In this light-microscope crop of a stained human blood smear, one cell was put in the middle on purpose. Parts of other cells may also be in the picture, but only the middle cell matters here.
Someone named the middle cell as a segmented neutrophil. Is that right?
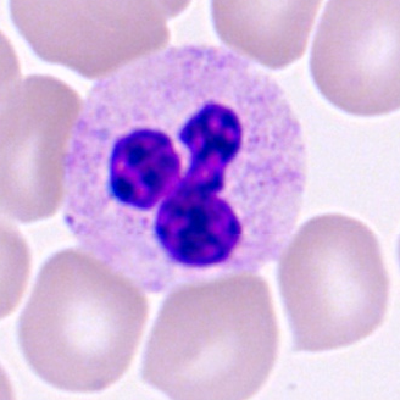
yes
